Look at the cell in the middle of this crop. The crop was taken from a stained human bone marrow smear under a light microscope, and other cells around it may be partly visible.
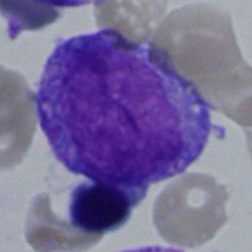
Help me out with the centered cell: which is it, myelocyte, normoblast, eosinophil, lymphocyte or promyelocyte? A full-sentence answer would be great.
The cell at the heart of this crop is a promyelocyte.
